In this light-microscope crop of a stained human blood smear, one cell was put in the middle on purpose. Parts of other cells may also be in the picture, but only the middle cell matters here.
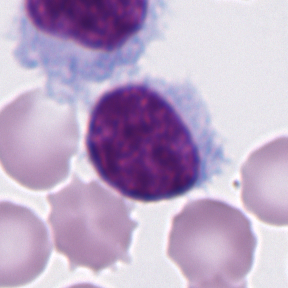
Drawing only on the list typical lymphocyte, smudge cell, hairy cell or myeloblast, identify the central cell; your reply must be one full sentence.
The central cell in this smear crop is a hairy cell.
